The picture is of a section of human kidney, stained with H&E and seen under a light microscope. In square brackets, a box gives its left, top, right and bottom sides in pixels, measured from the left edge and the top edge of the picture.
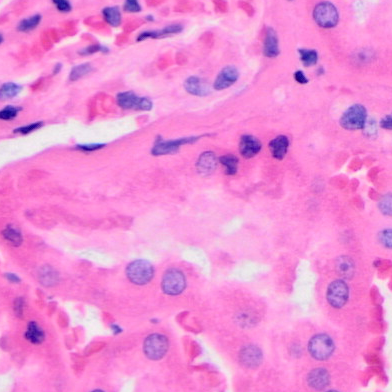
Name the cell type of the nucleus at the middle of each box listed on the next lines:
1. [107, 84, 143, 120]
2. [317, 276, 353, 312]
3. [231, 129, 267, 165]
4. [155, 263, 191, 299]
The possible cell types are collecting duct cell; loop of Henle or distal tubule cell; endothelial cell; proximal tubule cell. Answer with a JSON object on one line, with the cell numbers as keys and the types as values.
{"1": "endothelial cell", "2": "proximal tubule cell", "3": "proximal tubule cell", "4": "proximal tubule cell"}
